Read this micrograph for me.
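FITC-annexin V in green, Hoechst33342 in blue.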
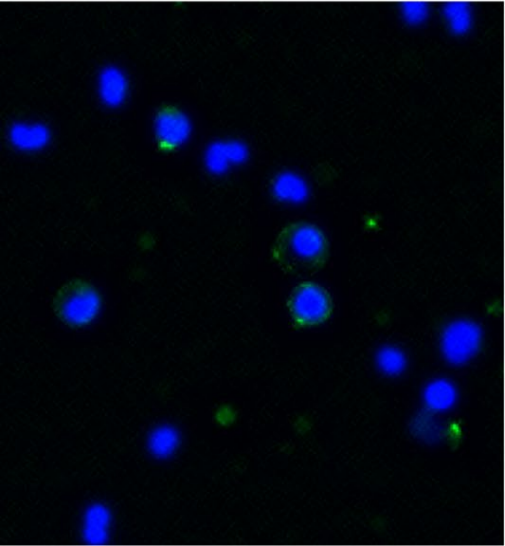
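Nuclei stain bright blue; many are bilobed or dumbbell-shaped, others compact and rounded. Most cells show only the blue nucleus with no visible outline. Small isolated green specks lie free in the background between cells.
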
